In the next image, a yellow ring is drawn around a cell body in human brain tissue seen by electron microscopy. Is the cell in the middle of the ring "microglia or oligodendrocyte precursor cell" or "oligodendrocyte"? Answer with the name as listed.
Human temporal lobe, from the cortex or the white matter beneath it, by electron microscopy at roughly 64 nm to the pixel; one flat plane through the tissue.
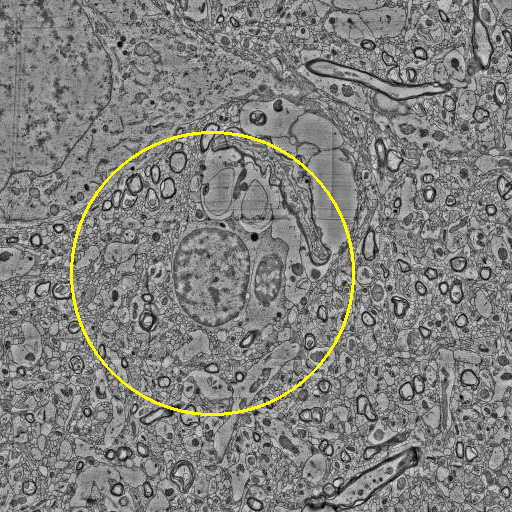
oligodendrocyte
